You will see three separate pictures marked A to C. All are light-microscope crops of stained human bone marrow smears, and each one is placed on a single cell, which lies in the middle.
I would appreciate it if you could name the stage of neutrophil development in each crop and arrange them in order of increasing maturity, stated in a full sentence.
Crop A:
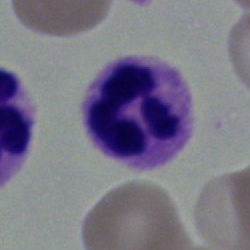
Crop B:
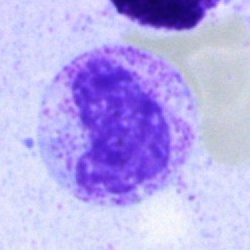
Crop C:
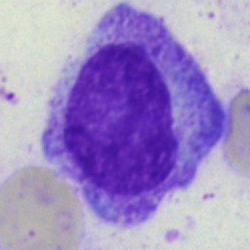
The least to most mature ordering of the crops is crop C (a promyelocyte), crop B (a metamyelocyte) and crop A (a segmented neutrophil).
